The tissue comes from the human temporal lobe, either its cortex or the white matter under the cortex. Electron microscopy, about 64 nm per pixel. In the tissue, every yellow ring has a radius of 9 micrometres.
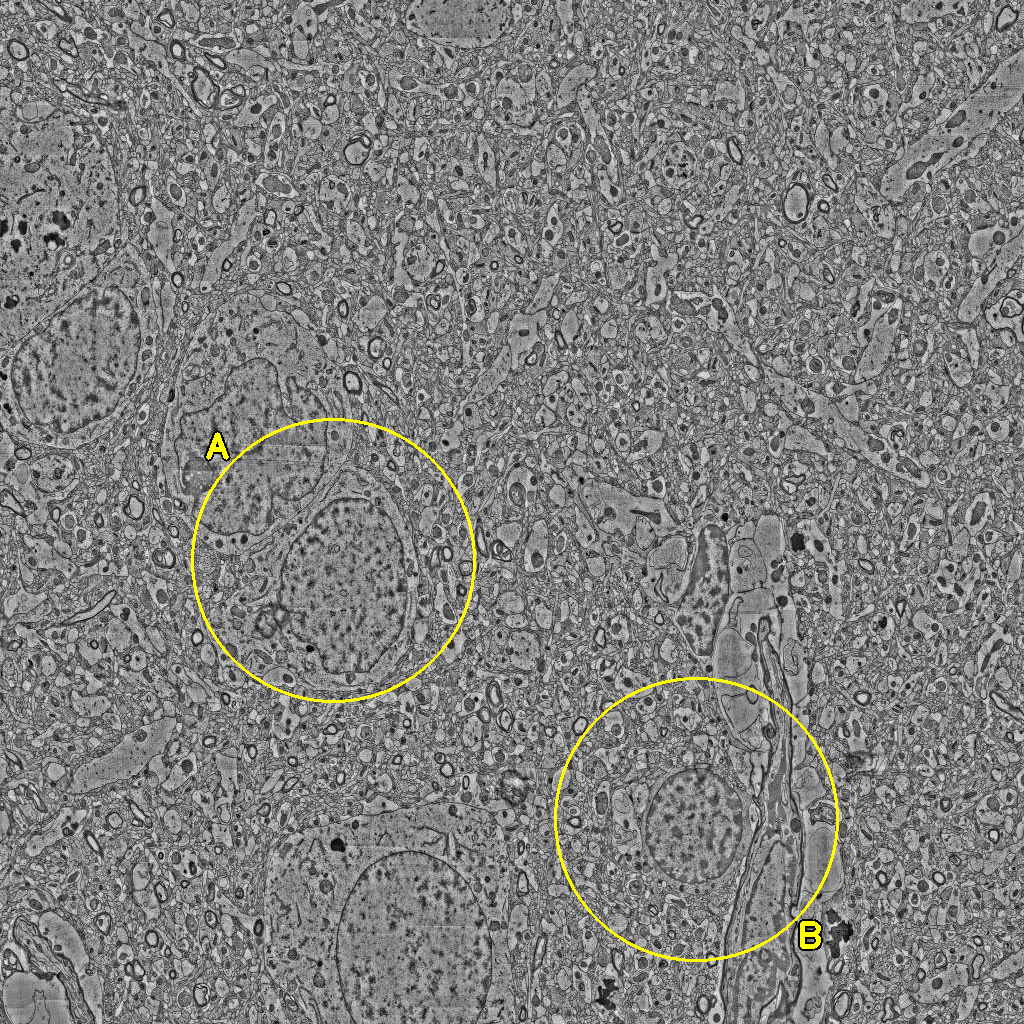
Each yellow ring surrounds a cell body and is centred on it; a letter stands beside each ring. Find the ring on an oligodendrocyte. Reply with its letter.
B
